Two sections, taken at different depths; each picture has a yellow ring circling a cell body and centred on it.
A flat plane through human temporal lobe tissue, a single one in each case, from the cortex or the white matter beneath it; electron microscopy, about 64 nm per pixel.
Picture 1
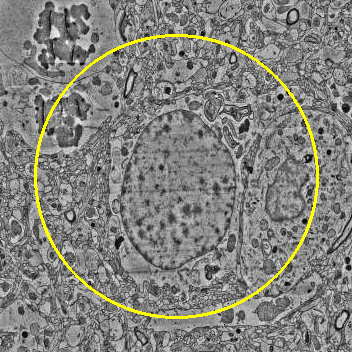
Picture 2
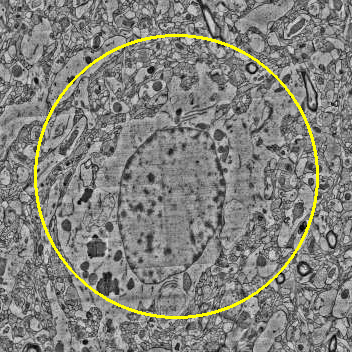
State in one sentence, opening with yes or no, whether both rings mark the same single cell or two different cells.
No, each ring in the micrograph marks a distinct cell.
